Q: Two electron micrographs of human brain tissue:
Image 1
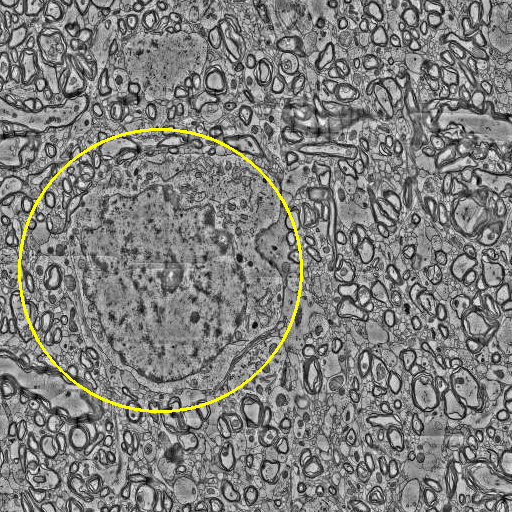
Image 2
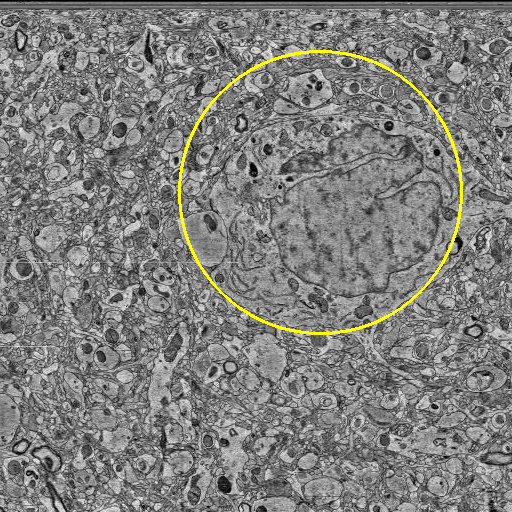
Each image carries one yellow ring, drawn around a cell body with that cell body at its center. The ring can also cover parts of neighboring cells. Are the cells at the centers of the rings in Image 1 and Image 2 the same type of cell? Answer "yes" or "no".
yes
